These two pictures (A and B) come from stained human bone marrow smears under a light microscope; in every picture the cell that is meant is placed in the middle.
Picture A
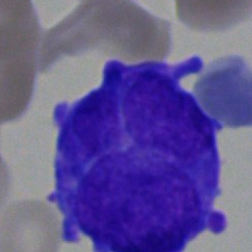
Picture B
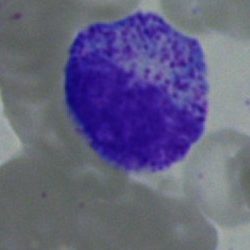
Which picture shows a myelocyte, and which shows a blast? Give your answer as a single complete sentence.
Picture A is of a blast, and picture B is of a myelocyte.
